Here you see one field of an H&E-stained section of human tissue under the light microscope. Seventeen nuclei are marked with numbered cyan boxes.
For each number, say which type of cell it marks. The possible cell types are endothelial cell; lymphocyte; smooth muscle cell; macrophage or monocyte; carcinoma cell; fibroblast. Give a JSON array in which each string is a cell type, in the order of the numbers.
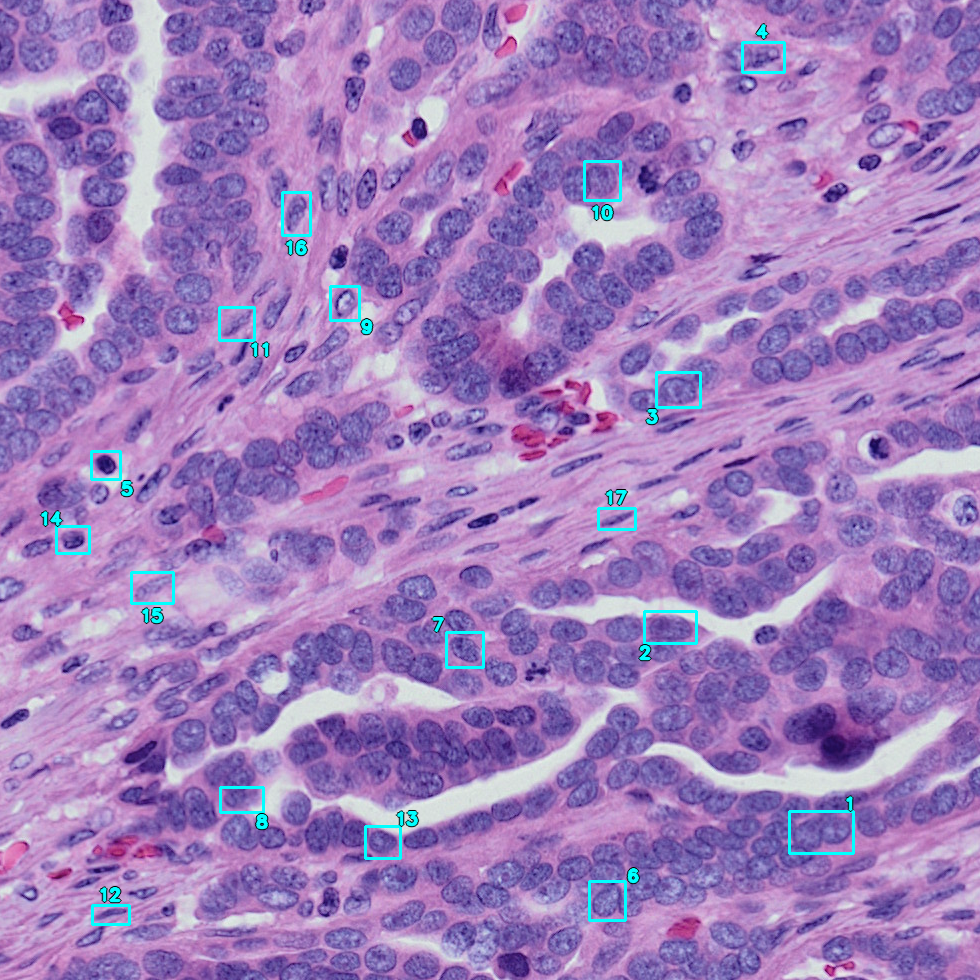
["carcinoma cell", "carcinoma cell", "carcinoma cell", "fibroblast", "lymphocyte", "carcinoma cell", "carcinoma cell", "carcinoma cell", "fibroblast", "carcinoma cell", "fibroblast", "fibroblast", "carcinoma cell", "lymphocyte", "fibroblast", "fibroblast", "fibroblast"]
